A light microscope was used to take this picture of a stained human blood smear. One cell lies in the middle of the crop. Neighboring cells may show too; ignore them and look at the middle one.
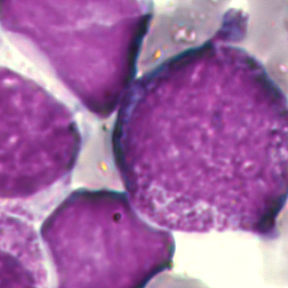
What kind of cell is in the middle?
promyelocyte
